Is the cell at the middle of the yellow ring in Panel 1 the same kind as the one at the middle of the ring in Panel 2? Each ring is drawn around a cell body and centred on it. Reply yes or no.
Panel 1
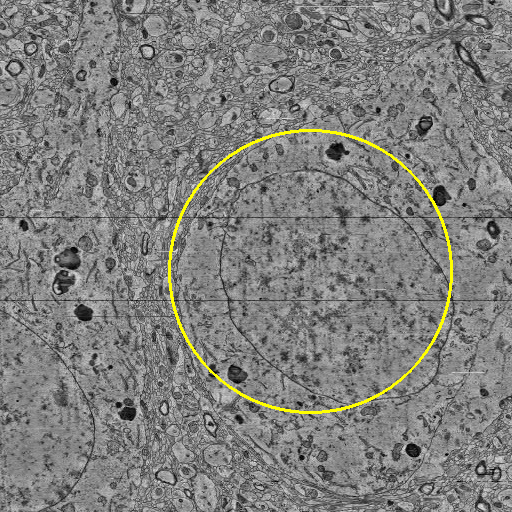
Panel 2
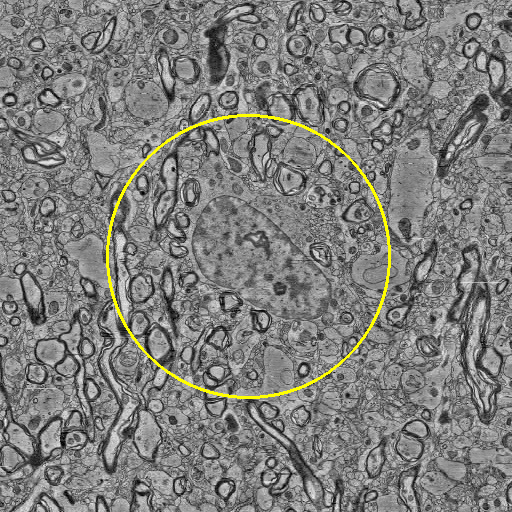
no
